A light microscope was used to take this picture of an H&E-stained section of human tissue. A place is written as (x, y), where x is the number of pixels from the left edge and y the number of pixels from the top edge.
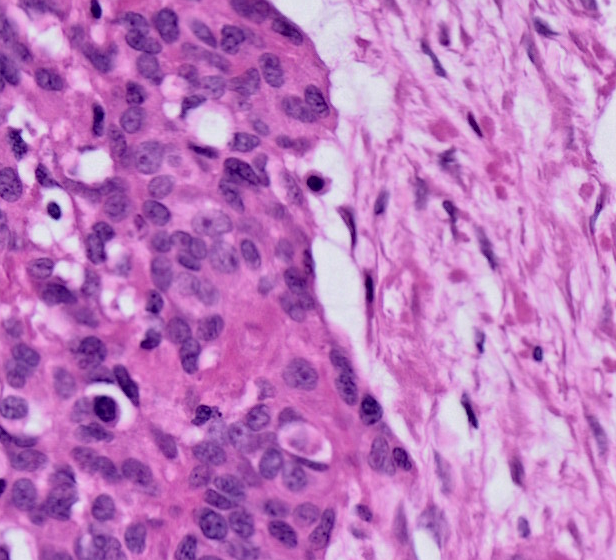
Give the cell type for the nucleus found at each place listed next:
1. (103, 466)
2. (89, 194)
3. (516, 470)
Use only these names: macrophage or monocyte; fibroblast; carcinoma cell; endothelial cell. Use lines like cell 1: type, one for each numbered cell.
cell 1: carcinoma cell
cell 2: carcinoma cell
cell 3: fibroblast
